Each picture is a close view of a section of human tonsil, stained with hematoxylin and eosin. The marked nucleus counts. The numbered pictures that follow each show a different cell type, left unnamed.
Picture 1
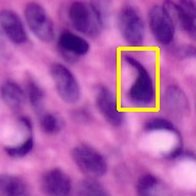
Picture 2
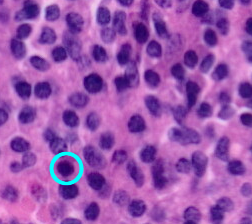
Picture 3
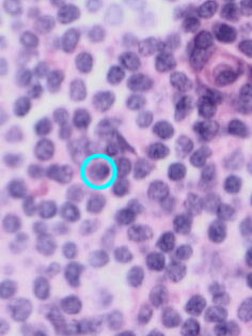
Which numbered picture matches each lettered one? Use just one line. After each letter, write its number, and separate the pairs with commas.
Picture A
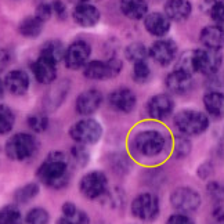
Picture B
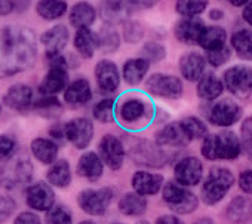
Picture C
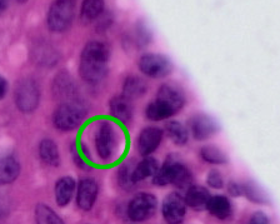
A 2, B 3, C 1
